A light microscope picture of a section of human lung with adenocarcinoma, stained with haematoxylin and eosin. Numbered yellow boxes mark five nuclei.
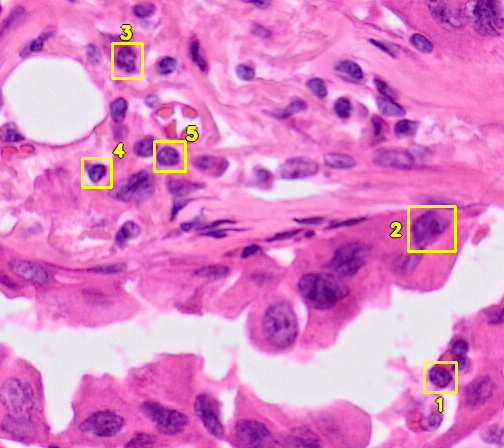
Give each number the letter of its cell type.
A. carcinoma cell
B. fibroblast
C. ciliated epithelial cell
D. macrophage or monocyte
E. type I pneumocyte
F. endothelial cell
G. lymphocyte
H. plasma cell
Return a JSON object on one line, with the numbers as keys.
{"1": "G", "2": "A", "3": "H", "4": "G", "5": "G"}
